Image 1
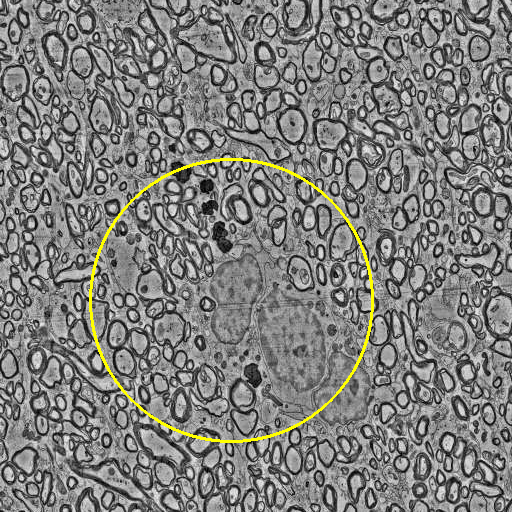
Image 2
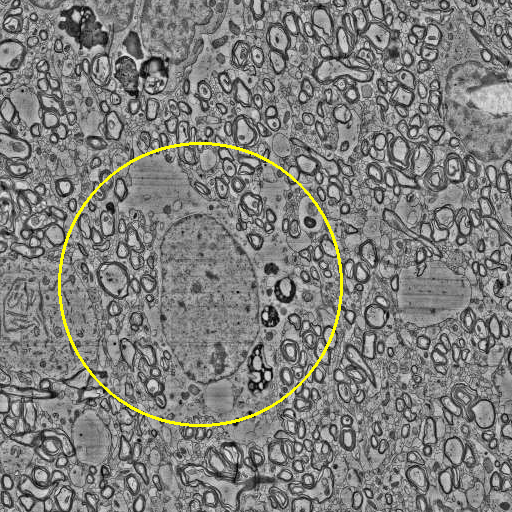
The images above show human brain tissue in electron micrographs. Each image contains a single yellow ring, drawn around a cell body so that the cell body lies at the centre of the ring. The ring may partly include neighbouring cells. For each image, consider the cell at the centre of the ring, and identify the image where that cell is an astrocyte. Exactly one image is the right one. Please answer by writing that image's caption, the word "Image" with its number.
Image 2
